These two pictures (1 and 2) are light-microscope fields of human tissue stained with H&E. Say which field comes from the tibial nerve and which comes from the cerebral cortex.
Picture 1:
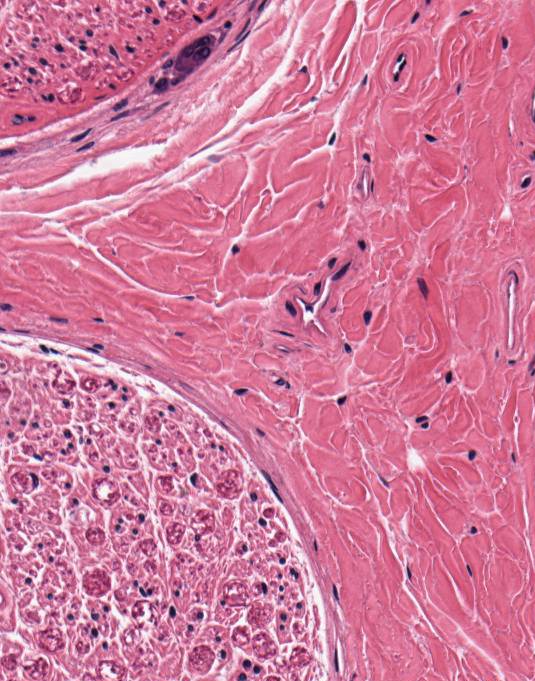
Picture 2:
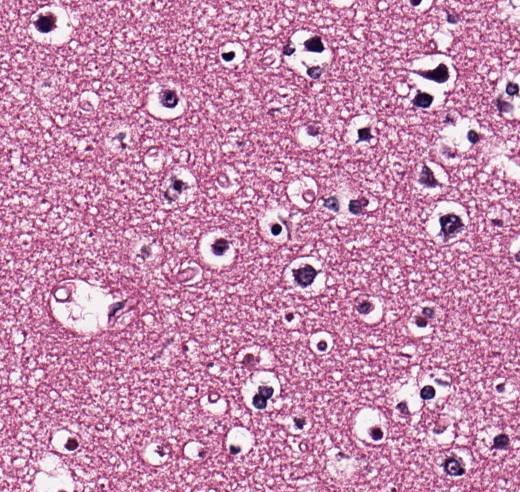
1: tibial nerve
2: cerebral cortex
